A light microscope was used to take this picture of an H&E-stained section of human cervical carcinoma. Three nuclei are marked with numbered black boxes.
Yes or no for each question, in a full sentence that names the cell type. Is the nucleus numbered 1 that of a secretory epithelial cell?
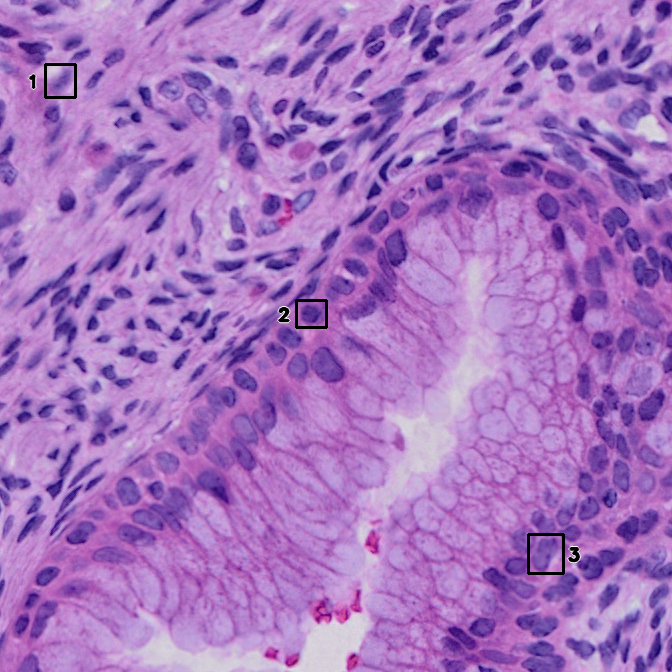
No, cell number 1 is identified as a fibroblast, not as a secretory epithelial cell.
